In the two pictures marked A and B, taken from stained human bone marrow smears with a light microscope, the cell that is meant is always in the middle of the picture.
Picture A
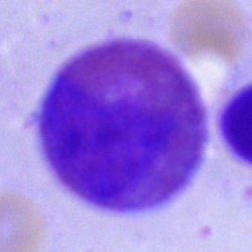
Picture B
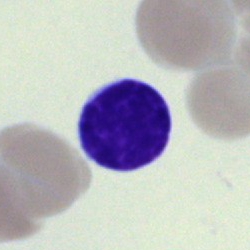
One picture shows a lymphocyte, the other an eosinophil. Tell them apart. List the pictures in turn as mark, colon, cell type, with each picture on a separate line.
A: eosinophil
B: lymphocyte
